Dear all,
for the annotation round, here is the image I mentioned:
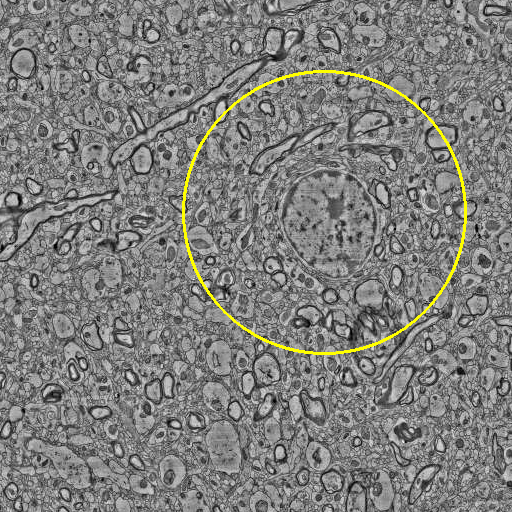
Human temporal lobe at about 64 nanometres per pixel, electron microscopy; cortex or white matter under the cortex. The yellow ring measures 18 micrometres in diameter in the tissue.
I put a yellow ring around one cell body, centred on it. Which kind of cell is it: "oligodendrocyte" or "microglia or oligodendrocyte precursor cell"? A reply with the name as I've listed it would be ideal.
microglia or oligodendrocyte precursor cell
